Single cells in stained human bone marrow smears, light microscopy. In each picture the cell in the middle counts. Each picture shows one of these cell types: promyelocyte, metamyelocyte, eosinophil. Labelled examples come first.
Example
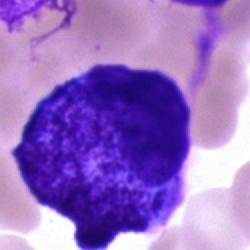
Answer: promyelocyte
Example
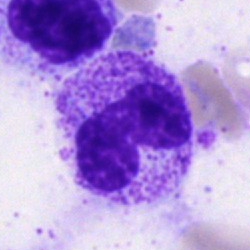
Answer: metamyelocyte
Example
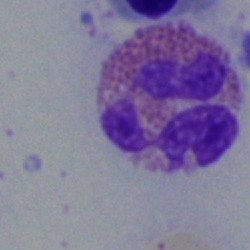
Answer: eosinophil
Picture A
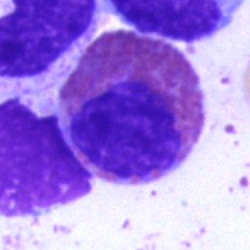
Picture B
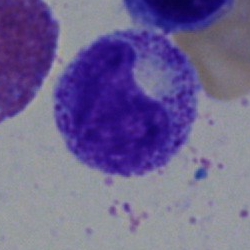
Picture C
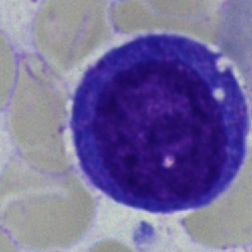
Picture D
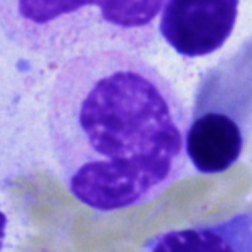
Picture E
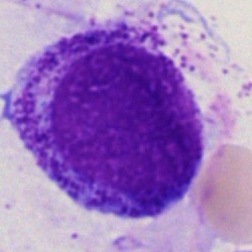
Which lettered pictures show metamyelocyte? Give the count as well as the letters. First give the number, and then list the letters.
2, namely B, D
